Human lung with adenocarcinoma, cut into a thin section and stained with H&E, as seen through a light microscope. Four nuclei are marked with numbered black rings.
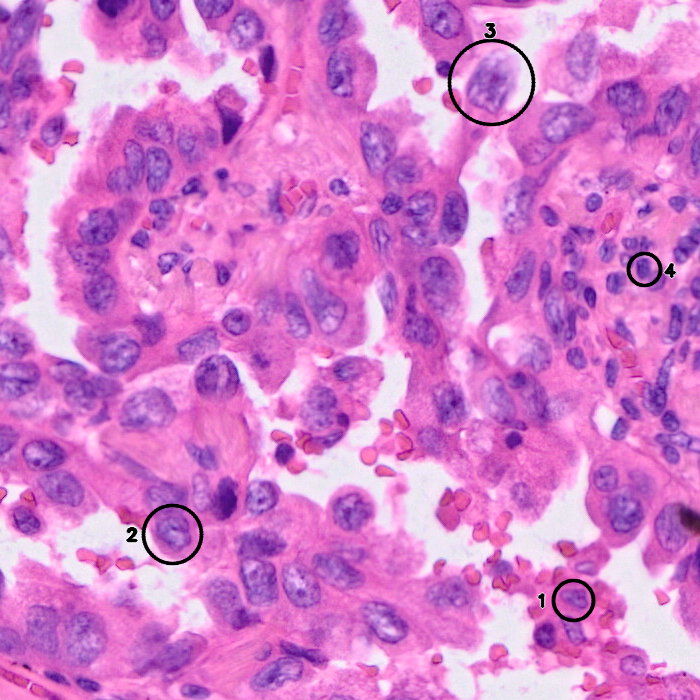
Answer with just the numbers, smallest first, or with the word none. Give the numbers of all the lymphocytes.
4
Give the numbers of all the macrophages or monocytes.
1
